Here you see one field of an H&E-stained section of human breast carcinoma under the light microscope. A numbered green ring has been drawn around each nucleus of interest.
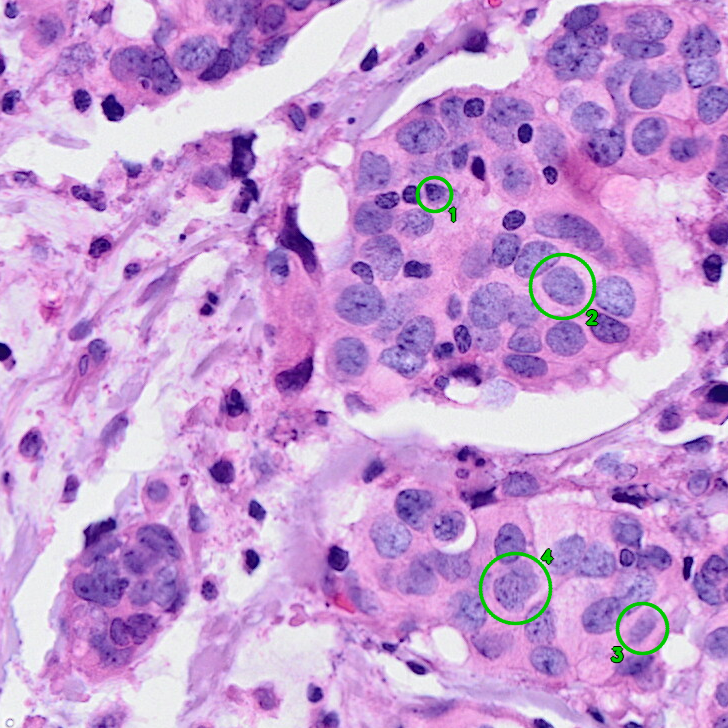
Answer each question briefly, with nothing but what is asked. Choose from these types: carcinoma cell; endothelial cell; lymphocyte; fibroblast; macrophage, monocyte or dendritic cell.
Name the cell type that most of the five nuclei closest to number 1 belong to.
carcinoma cell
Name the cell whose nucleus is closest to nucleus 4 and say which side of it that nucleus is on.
a carcinoma cell to the left of nucleus 4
